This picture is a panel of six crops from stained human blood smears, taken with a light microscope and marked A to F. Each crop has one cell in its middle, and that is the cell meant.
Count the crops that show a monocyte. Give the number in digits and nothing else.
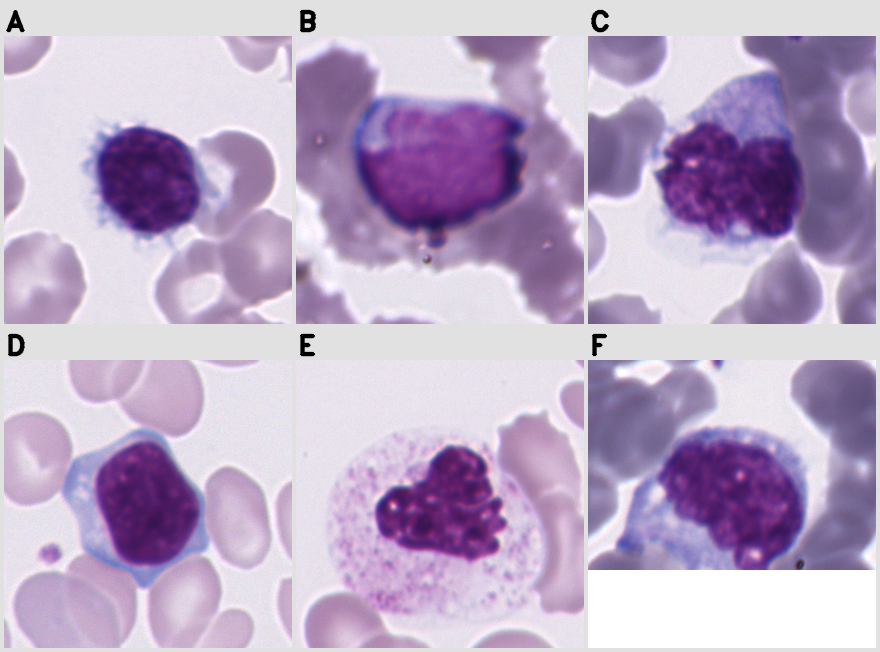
2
